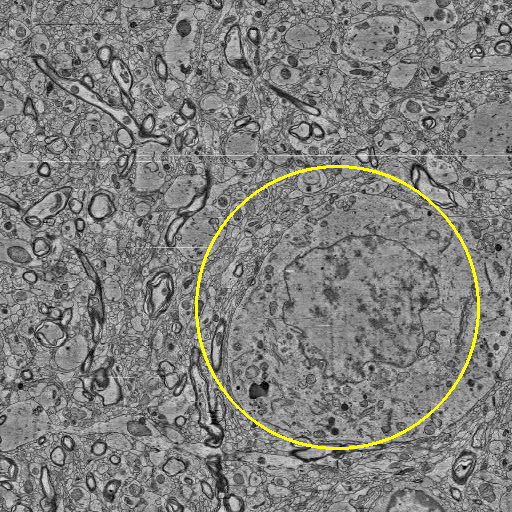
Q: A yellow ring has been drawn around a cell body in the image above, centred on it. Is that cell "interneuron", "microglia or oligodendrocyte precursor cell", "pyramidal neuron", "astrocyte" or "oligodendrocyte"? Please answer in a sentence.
The ring surrounds the cell body of a pyramidal neuron.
